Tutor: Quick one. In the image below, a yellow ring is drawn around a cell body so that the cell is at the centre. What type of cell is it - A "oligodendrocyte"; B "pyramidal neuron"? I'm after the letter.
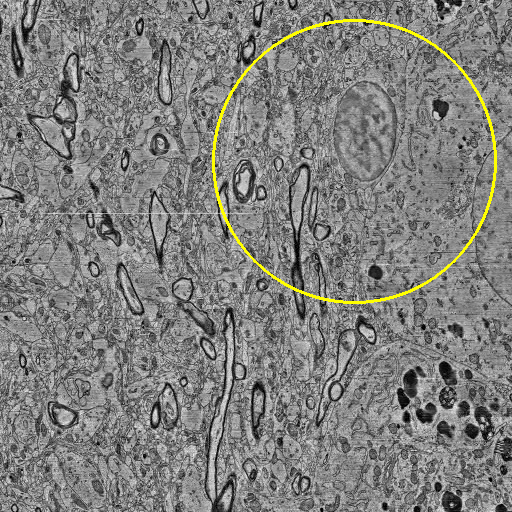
A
